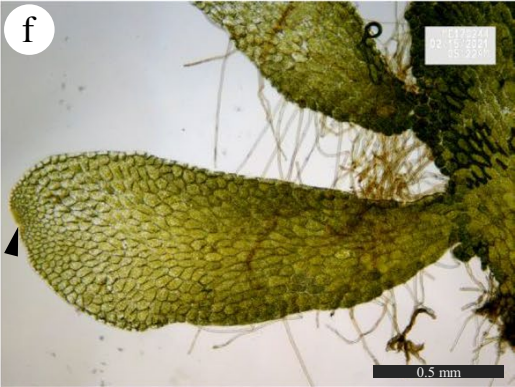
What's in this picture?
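Here a fern prothallus, a strap-shaped green plate one cell thick, extends from a darker tangle of other plates. Along the narrow base, toward the cluster, fine pale threads, the rhizoids, hang out among the plates. Toward the broad rounded tip the cells become smaller and tighter, marking where the plate keeps growing. A neighbouring plate at the top shows the same netted cell pattern.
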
